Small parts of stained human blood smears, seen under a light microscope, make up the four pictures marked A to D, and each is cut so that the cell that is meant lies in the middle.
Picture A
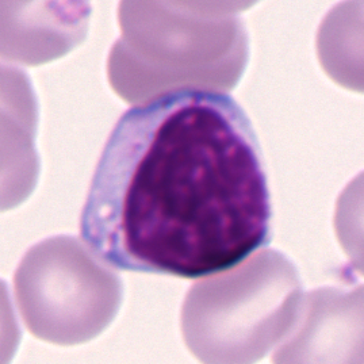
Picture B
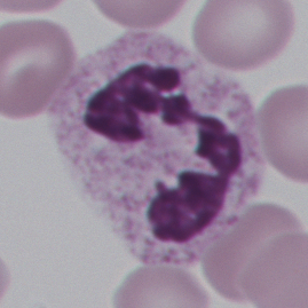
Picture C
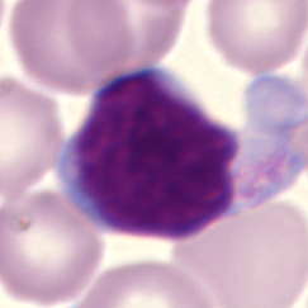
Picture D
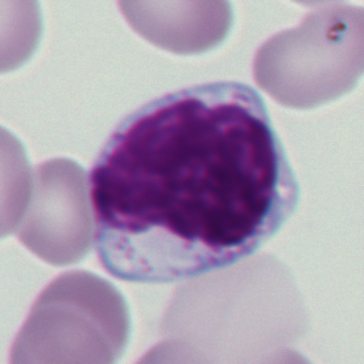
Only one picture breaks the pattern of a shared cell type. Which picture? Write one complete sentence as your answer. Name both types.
The others show large granular lymphocytes, but picture B shows a segmented neutrophil.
